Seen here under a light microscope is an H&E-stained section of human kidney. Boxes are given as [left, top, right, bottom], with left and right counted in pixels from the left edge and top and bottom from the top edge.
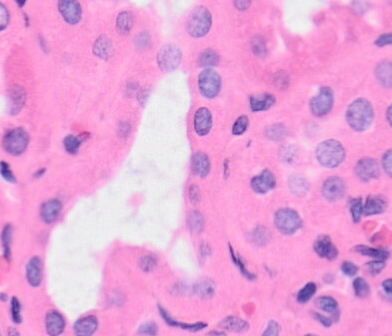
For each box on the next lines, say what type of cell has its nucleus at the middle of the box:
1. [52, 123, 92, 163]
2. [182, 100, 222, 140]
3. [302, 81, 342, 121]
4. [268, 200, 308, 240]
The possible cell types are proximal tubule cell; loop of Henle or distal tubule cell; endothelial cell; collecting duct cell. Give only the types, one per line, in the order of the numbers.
endothelial cell
loop of Henle or distal tubule cell
loop of Henle or distal tubule cell
loop of Henle or distal tubule cell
